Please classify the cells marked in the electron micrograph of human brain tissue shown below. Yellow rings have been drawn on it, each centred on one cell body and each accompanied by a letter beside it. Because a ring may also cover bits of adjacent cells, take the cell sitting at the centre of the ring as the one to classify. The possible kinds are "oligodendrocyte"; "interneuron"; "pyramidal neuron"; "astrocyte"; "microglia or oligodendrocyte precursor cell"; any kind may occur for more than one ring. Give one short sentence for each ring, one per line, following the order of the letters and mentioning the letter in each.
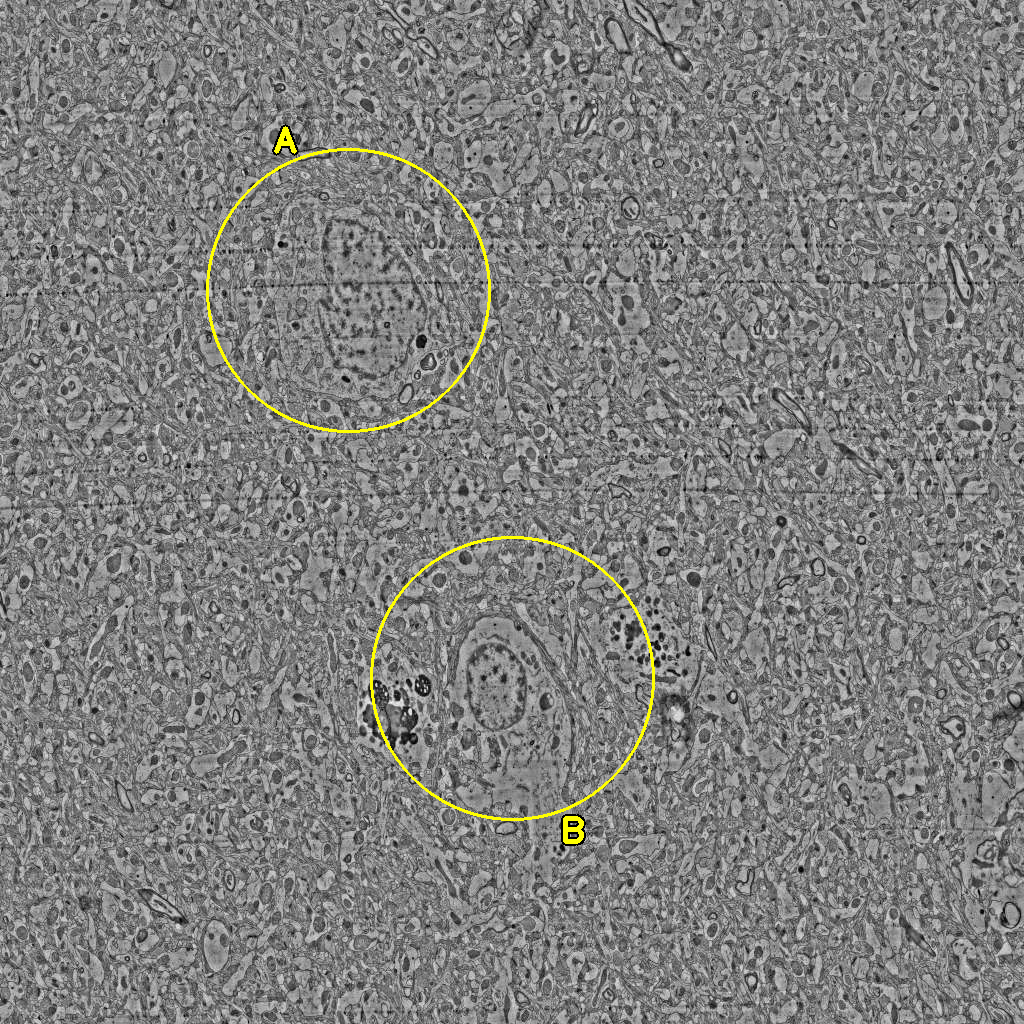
Ring A marks the cell body of an interneuron.
Ring B marks the cell body of an astrocyte.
